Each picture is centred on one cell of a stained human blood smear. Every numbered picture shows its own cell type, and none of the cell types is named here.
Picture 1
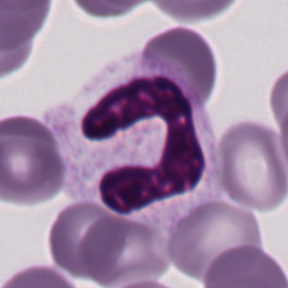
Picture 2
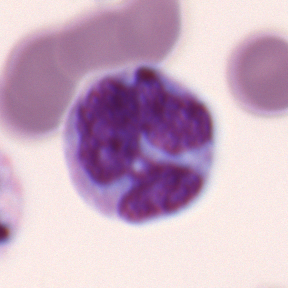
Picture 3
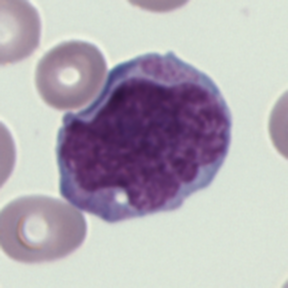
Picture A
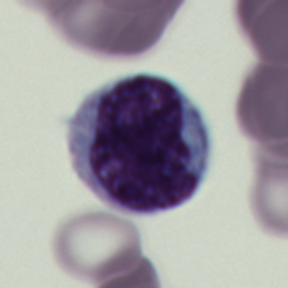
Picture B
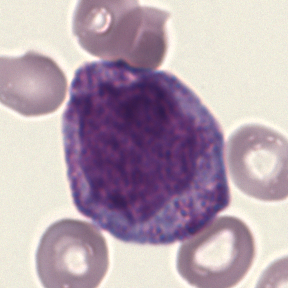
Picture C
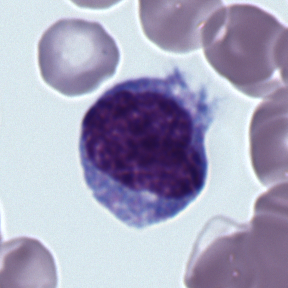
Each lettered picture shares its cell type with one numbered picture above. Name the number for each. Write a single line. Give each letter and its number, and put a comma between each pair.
A 2, B 3, C 2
